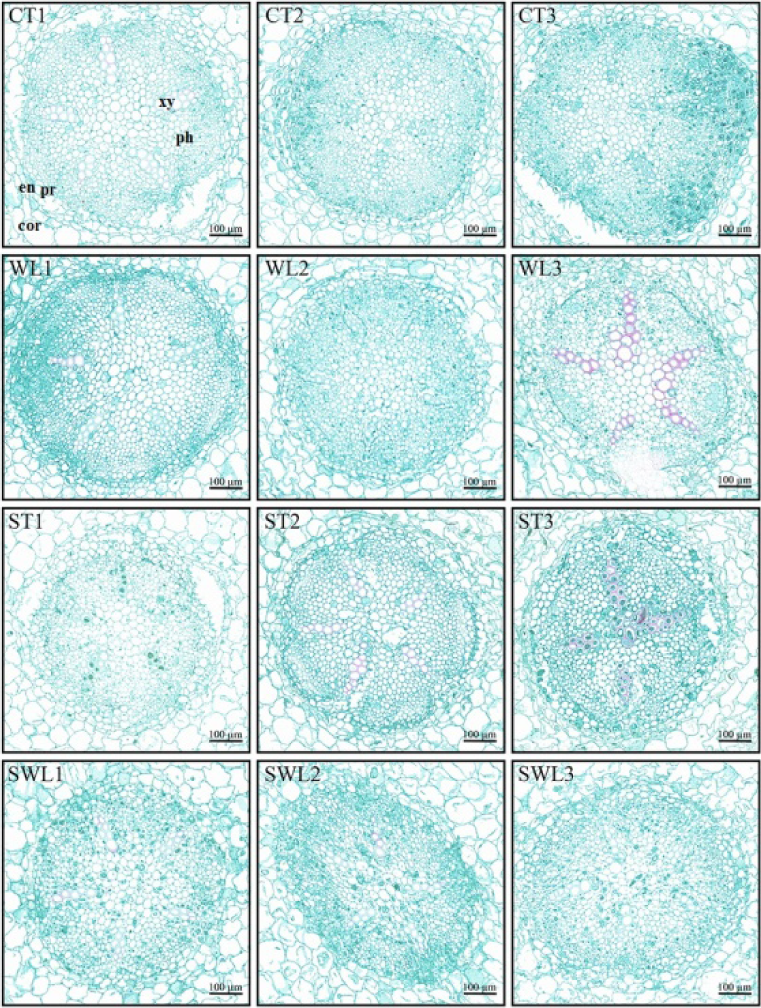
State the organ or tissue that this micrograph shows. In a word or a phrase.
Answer: Root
